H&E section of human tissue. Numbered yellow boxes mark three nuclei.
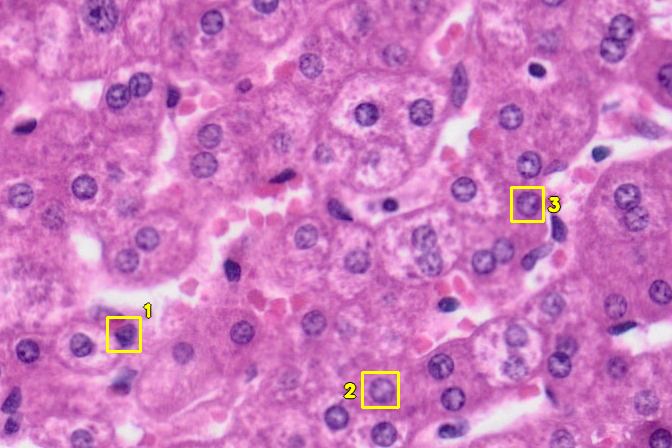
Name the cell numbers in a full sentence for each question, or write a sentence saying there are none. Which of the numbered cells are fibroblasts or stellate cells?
Mind that only cell 1 is a fibroblast or stellate cell, none of the rest.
